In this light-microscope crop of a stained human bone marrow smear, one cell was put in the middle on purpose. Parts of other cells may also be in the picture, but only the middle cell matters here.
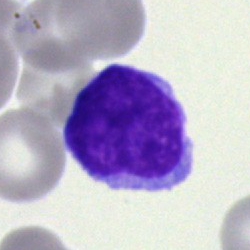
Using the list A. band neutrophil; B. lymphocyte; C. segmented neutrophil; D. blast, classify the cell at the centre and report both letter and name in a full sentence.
According to option B, which is correct, the cell in the middle is a lymphocyte.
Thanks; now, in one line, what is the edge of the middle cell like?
An irregular outline, ragged or marked by projections, surrounds this cell.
